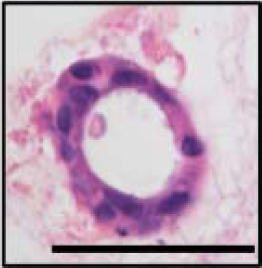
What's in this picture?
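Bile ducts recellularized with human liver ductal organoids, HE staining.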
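A small round tube cut across, lying in loose pink fibrous matrix. Its open central lumen is lined by a single ring of cuboidal epithelial cells with rounded to oval dark purple nuclei and purple-pink cytoplasm. The cells sit close together around the lumen, and pink matrix wraps the outside of the ring.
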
